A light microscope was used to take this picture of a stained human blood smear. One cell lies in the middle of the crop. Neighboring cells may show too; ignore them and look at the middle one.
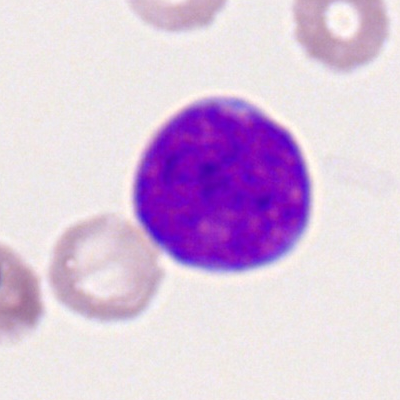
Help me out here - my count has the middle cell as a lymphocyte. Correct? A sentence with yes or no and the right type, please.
No, the middle cell is classified as a myeloblast instead of a lymphocyte.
